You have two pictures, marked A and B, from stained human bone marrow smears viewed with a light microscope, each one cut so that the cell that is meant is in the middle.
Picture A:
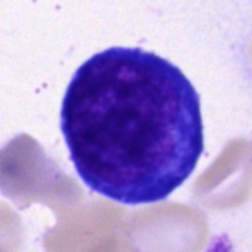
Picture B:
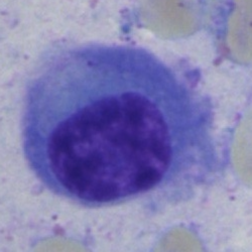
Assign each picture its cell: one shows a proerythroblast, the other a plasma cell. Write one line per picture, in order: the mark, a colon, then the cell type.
A: proerythroblast
B: plasma cell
